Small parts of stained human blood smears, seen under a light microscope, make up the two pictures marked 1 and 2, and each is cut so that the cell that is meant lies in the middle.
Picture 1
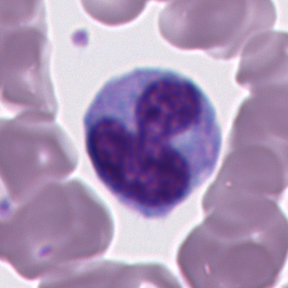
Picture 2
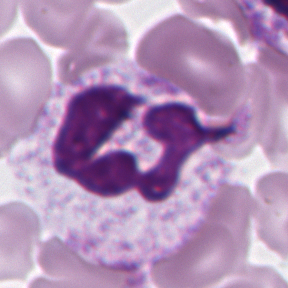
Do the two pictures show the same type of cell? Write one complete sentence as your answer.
No; the cell in picture 1 is a monocyte, while the one in picture 2 is a segmented neutrophil.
